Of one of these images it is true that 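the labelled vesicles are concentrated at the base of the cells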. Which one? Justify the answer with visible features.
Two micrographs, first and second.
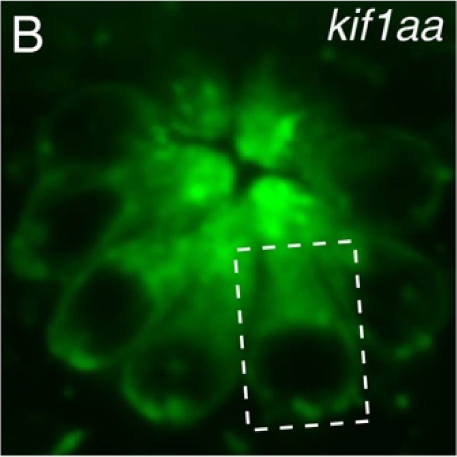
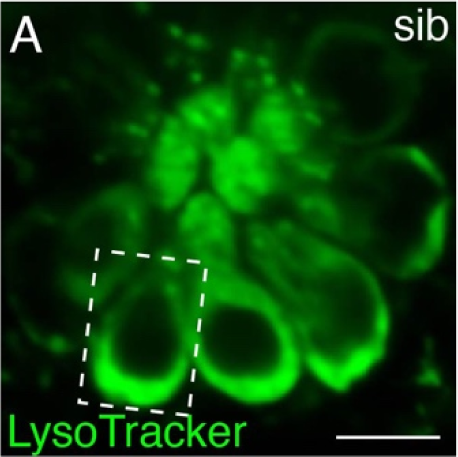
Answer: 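First image: the bases of the lower cells are dim, with brighter label toward the centre. Second image: bright green crescents lie at the base of the lower cells beneath the nuclei.
The second image.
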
